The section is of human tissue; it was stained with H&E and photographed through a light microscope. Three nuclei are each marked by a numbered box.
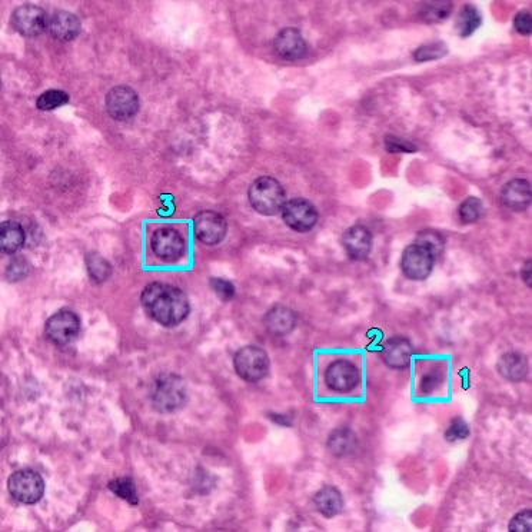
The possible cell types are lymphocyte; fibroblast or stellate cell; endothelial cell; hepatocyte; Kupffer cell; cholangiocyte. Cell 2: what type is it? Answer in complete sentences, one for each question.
The cell pointed out by number 2 is a hepatocyte.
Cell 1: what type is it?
The one numbered 1 among the marked cells is a Kupffer cell.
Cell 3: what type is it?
Cell 3 in the field of view is a hepatocyte.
